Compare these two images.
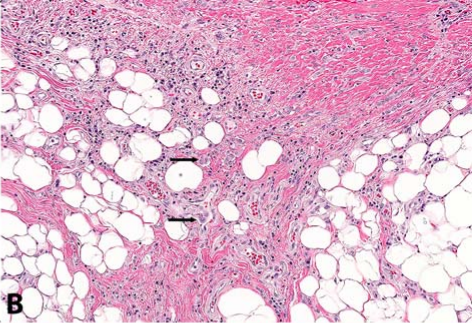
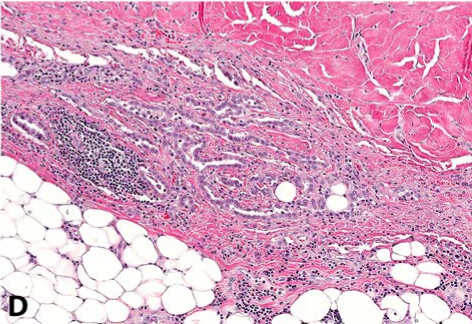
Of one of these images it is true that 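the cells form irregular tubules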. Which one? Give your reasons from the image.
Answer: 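First image: cells lie singly or in small groups between fat cells, without lumens. Second image: cells line branching, slit-like tubular lumens.
The second image.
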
